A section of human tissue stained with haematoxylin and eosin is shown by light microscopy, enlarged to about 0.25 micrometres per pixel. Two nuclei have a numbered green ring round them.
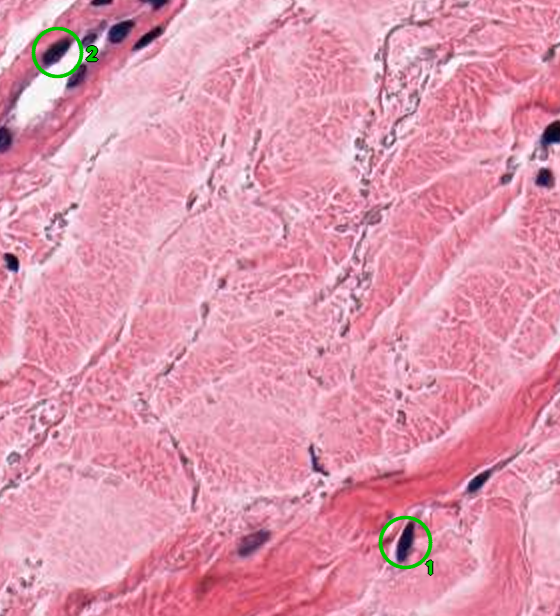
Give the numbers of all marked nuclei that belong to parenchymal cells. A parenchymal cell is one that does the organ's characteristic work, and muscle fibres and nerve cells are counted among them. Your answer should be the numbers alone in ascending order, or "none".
none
